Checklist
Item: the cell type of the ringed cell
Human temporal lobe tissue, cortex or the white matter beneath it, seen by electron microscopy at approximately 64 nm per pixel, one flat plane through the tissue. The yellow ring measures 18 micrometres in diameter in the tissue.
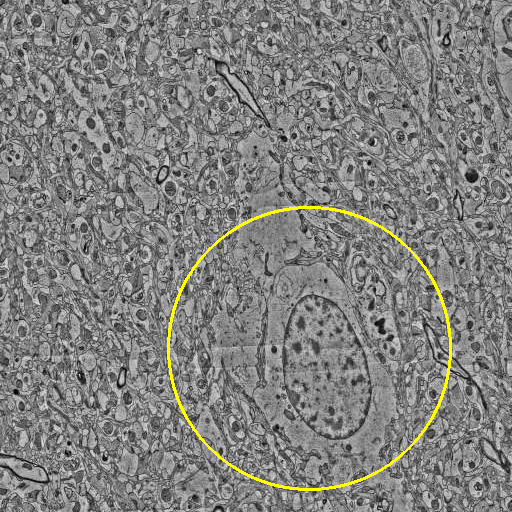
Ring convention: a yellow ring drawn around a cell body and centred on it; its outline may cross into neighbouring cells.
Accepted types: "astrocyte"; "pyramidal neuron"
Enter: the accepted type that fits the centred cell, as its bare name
astrocyte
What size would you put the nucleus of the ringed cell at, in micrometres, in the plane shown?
In this plane, about 9 by 5 micrometres: the nucleus is clearly longer than it is wide.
